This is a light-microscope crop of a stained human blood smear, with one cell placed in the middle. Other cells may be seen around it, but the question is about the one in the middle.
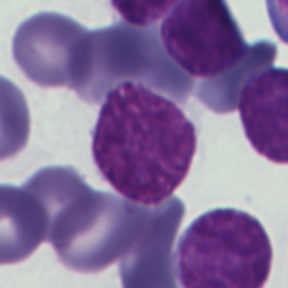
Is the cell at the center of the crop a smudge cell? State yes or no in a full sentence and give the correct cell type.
No, the centred cell is a myeloblast instead of a smudge cell.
